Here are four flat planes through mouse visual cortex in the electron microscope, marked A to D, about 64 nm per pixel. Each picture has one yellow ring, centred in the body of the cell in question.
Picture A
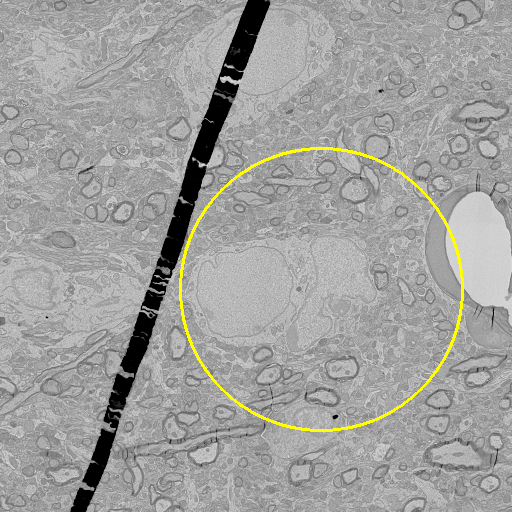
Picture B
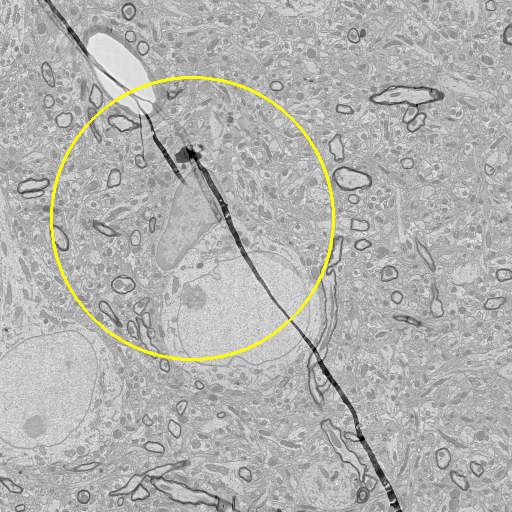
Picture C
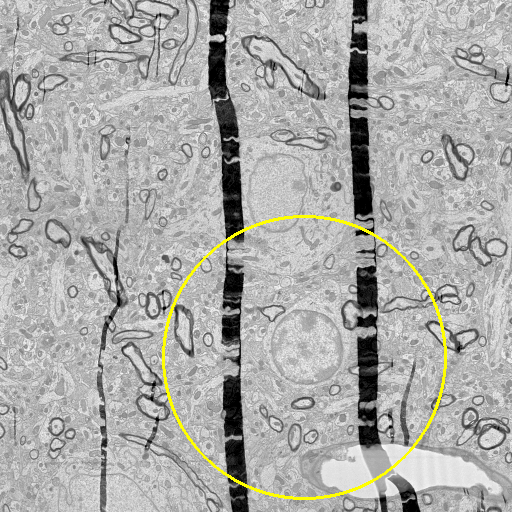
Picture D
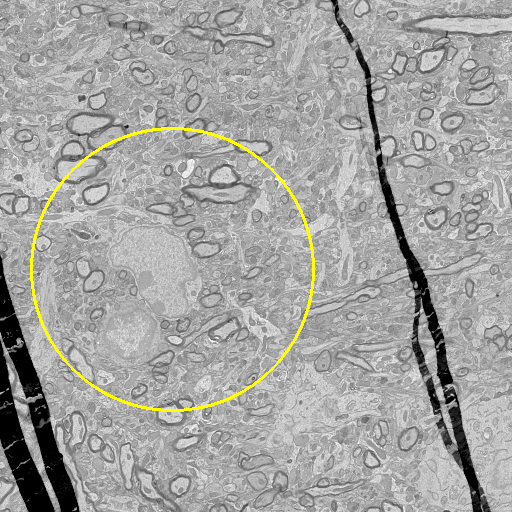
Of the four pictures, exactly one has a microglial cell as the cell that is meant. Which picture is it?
The picture with the microglial cell is B.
